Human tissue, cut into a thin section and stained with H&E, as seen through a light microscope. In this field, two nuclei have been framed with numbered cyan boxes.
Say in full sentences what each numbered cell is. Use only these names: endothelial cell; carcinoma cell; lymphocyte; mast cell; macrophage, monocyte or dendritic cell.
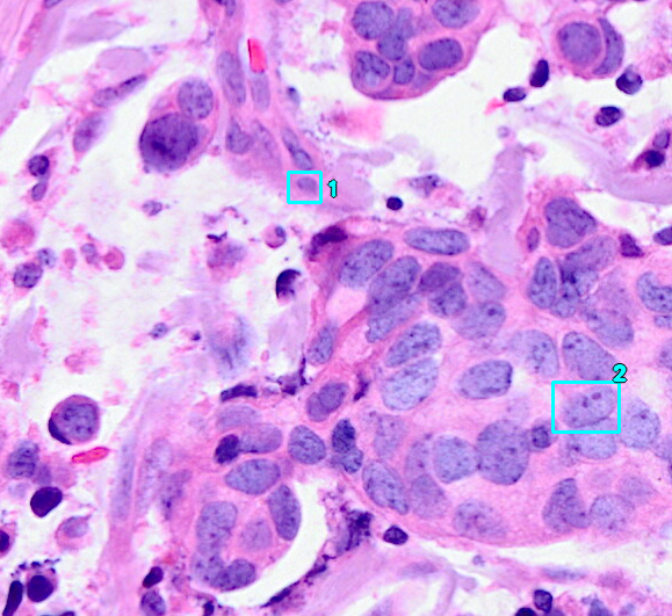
Cell 1 is an endothelial cell. Cell 2 is a carcinoma cell.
